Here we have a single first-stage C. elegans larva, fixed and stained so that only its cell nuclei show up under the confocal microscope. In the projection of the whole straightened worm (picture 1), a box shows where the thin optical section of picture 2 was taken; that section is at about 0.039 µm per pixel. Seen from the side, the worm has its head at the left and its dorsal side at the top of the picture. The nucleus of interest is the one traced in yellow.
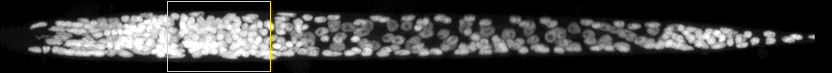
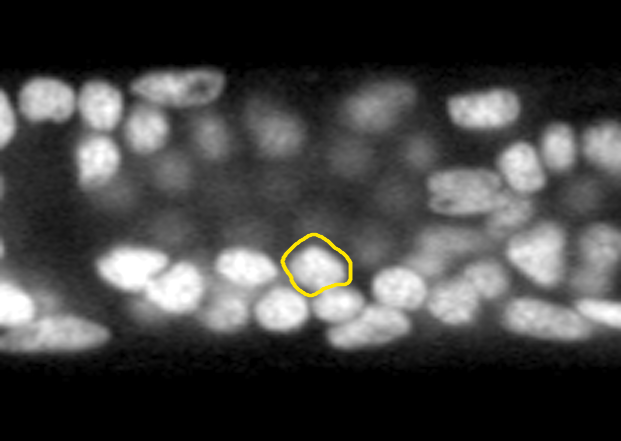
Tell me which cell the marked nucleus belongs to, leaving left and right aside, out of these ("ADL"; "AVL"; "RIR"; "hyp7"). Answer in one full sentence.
The nucleus is from AVL, a neuron.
